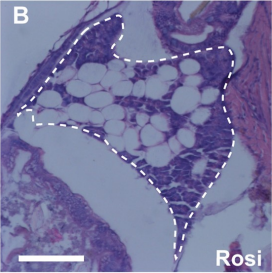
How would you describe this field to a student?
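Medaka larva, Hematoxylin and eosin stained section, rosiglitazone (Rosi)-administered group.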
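Inside the body cavity lies a wedge-shaped mass packed with many round, clear, empty-looking spaces of varying size. Thin pink-purple walls separate these spaces, and a few dark purple nuclei are pressed at the edges.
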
